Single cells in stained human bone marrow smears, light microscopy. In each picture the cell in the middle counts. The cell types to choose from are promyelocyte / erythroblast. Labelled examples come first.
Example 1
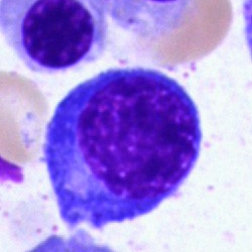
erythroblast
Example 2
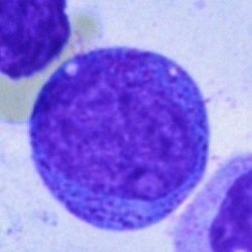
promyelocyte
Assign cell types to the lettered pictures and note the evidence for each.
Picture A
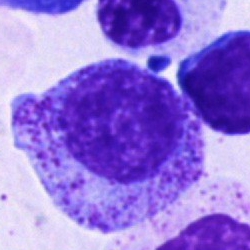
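promyelocyte. Evidence: The cytoplasm holds many coarse reddish-purple granules, thickest toward the outer edge of the cell.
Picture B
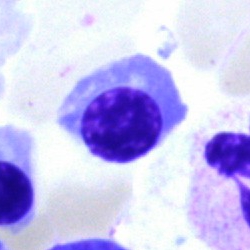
erythroblast. Evidence: The chromatin is coarse, with dark clumps separated by paler patches.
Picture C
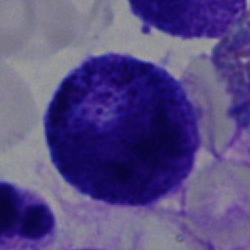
promyelocyte. Evidence: Coarse granules crowd the whole cell.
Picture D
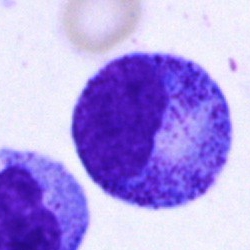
promyelocyte. Evidence: Reddish-purple granules are scattered through the cytoplasm.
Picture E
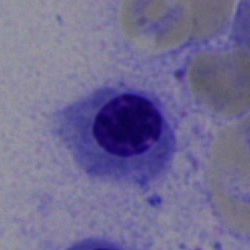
erythroblast. Evidence: The chromatin is dark purple and coarsely clumped.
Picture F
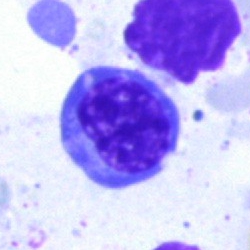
erythroblast. Evidence: The chromatin is coarsely clumped into dark blocks separated by paler areas.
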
